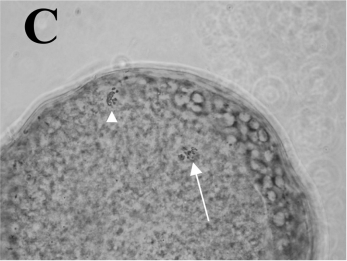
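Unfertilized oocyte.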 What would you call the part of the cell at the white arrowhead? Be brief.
The first polar body.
